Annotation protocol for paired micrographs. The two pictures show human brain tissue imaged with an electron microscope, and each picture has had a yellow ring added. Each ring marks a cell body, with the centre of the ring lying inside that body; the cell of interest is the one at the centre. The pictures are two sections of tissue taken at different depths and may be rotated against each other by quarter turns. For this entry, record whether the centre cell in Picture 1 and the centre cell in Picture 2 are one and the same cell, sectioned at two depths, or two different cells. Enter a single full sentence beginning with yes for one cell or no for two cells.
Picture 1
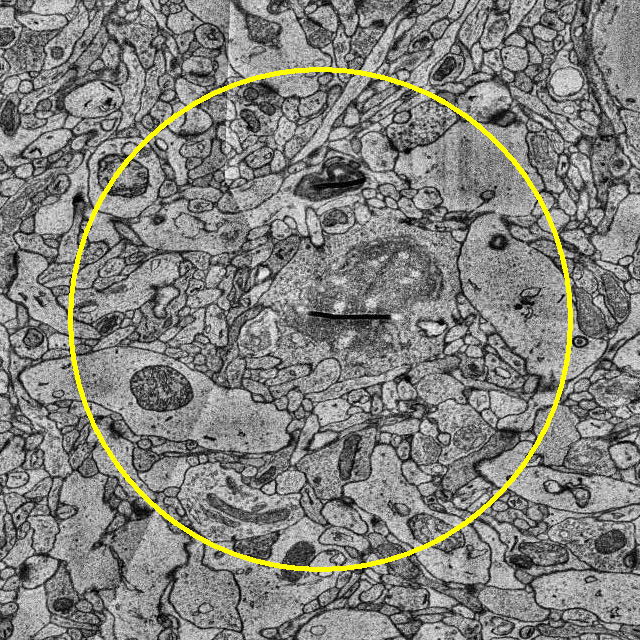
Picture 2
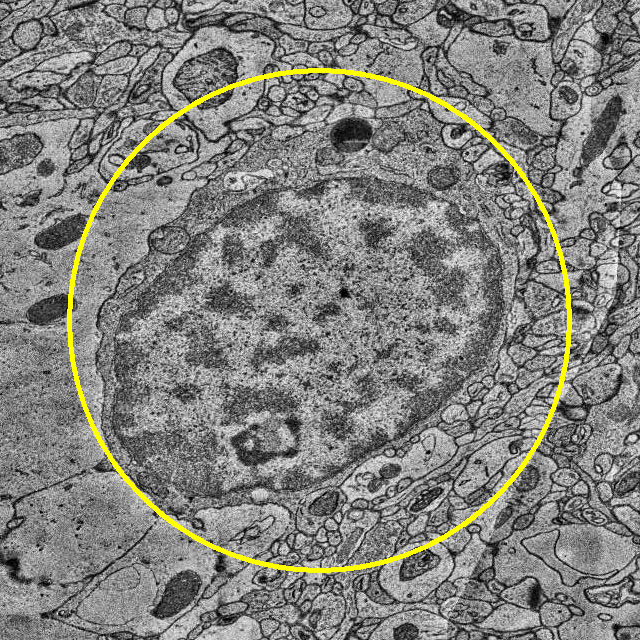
Yes, the cell marked in each ring is one and the same.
